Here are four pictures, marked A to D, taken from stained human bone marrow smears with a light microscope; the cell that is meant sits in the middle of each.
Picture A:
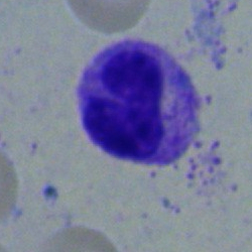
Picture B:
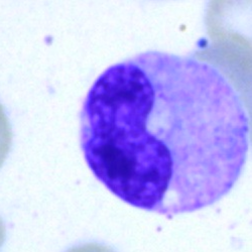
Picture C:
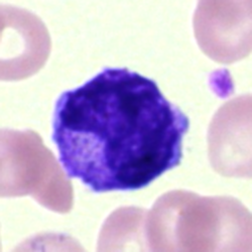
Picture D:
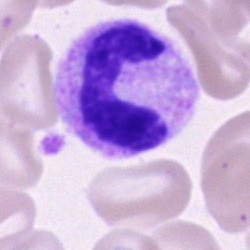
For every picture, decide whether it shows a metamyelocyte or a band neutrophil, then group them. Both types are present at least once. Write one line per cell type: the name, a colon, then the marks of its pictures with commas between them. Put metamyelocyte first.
metamyelocyte: C
band neutrophil: A, B, D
